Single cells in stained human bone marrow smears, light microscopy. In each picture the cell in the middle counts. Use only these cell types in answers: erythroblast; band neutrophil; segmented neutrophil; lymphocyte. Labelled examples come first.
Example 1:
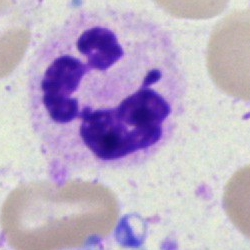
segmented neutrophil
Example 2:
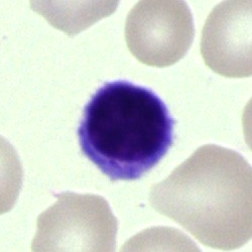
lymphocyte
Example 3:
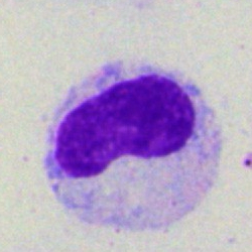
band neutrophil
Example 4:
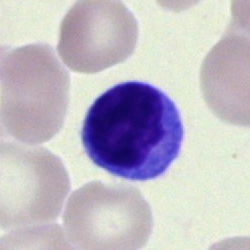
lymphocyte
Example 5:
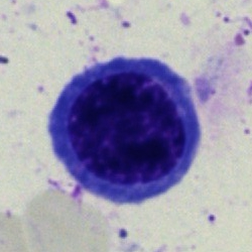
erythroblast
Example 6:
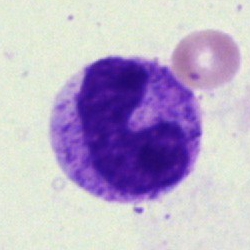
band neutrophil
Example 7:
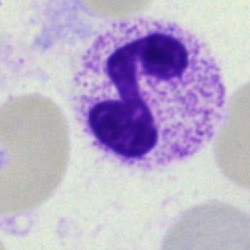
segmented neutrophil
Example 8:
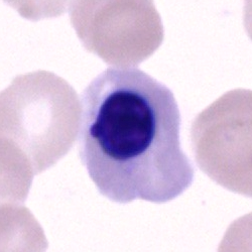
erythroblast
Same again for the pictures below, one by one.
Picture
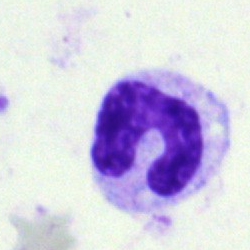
band neutrophil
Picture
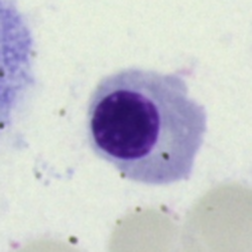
erythroblast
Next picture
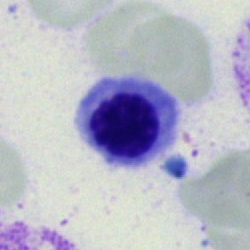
erythroblast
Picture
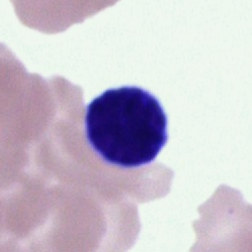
lymphocyte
